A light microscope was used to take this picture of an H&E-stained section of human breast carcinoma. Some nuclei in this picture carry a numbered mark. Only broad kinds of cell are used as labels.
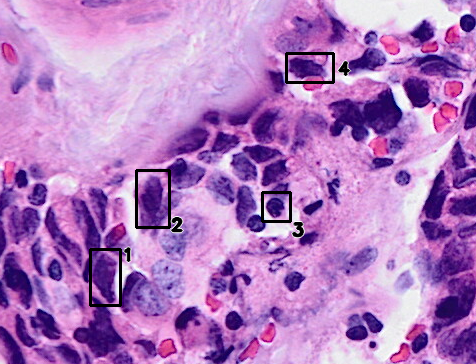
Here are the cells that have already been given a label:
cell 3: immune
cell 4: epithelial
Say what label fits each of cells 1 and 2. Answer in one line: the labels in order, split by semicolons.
epithelial; epithelial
